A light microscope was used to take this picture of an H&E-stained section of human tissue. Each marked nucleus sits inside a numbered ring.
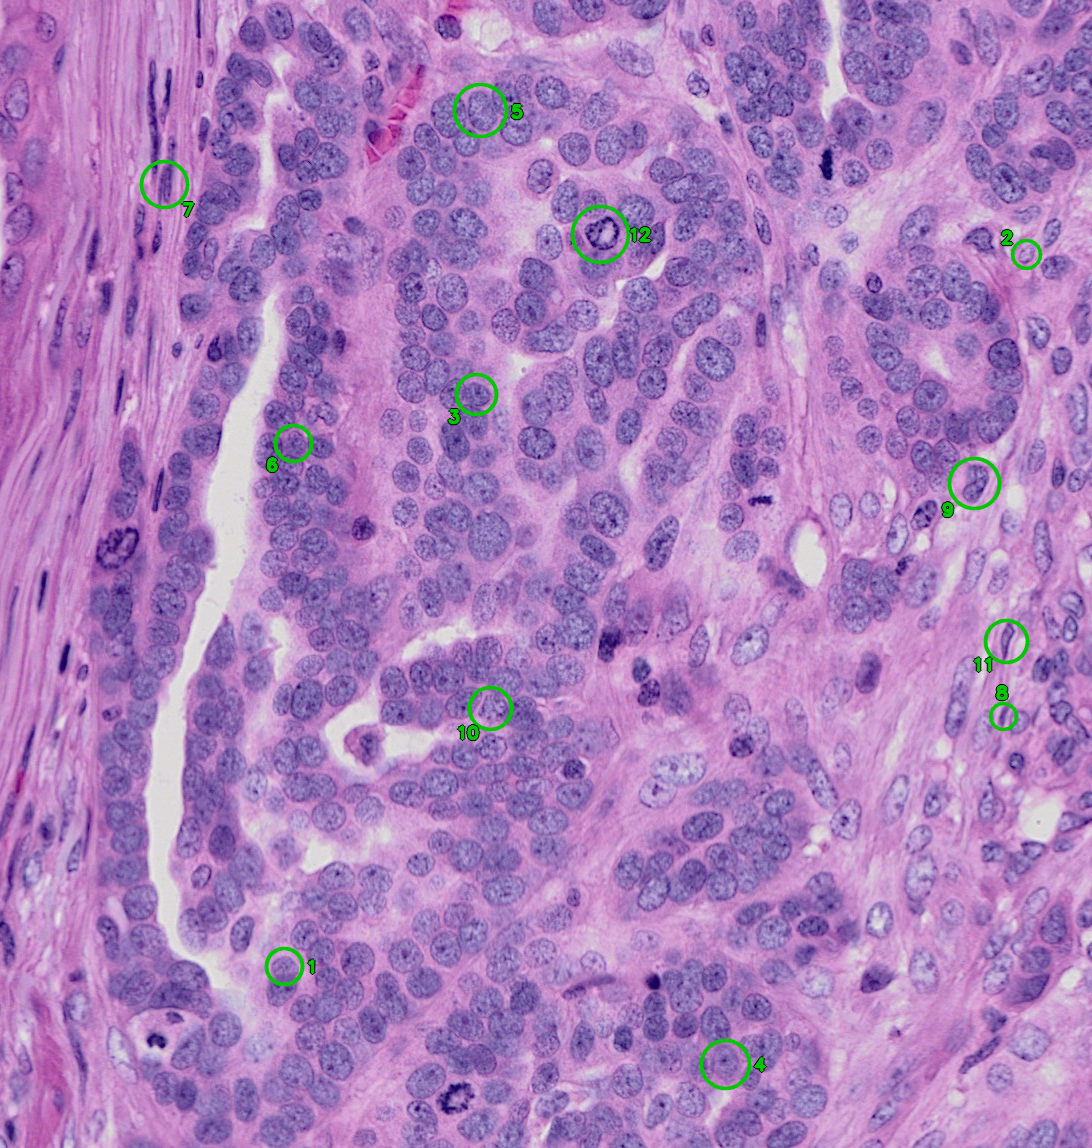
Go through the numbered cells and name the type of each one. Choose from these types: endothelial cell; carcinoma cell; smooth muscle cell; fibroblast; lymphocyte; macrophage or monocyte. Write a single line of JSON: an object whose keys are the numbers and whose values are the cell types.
{"1": "carcinoma cell", "2": "fibroblast", "3": "carcinoma cell", "4": "carcinoma cell", "5": "carcinoma cell", "6": "carcinoma cell", "7": "fibroblast", "8": "fibroblast", "9": "macrophage or monocyte", "10": "carcinoma cell", "11": "fibroblast", "12": "carcinoma cell"}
